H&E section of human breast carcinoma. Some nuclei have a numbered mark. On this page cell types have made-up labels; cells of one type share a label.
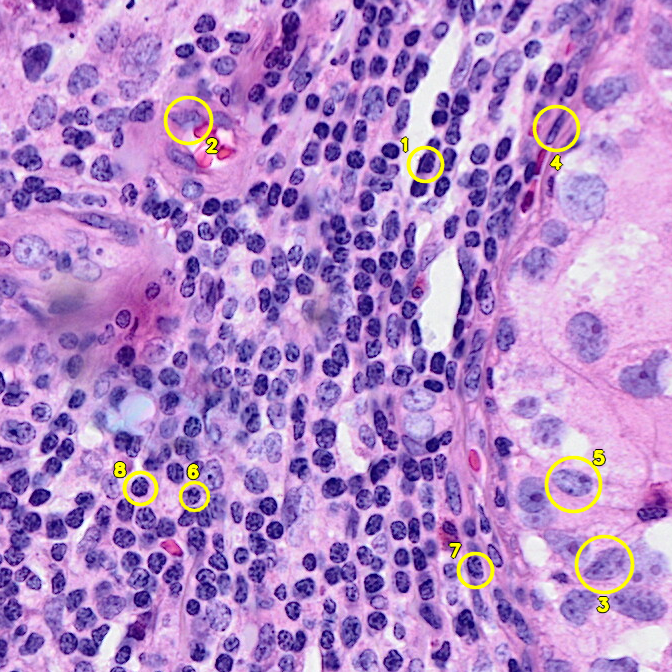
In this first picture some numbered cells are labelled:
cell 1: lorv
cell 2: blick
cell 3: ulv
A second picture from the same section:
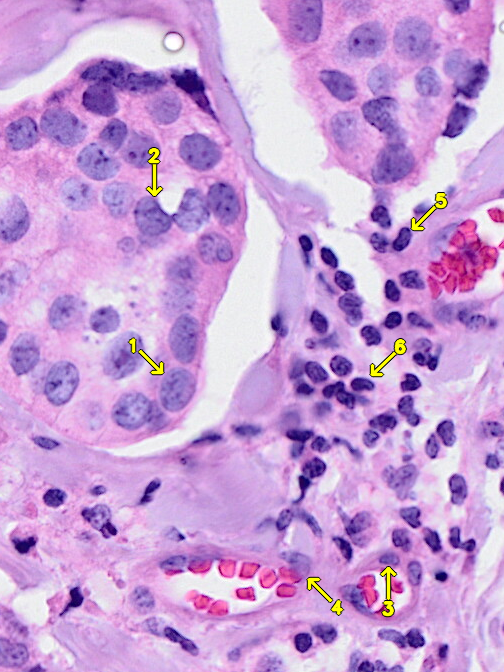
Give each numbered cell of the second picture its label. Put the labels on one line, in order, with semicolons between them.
ulv; ulv; blick; blick; lorv; lorv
